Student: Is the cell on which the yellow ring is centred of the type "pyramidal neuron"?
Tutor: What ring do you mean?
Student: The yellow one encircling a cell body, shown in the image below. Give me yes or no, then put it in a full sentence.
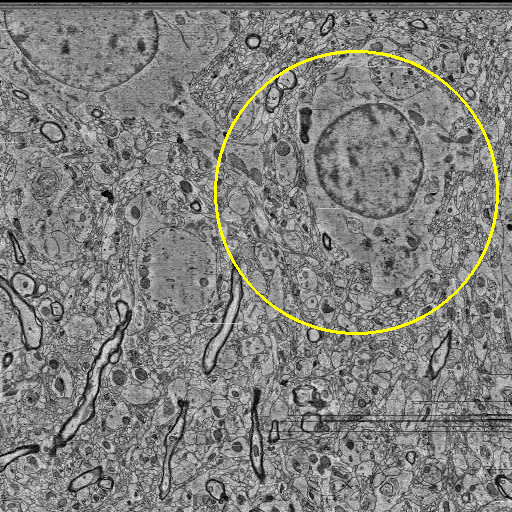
No, the cell on which the yellow ring in the image is centred has a different type.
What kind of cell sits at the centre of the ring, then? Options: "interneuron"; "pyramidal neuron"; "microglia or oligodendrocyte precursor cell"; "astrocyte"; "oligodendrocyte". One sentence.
Instead, the picture shows an astrocyte at the centre of the ring.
